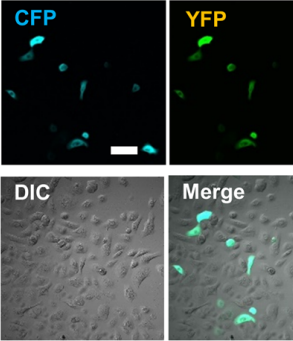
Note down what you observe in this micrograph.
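This is a low-magnification field of cultured cells grown as a fairly dense single layer on a dish. Only a scattered minority of them fluoresce, appearing cyan in one channel and green in the other. In the merged view, the same fluorescent cells overlie their outlines in the contrast image, while most neighbouring cells stay dark.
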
